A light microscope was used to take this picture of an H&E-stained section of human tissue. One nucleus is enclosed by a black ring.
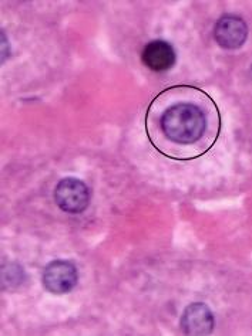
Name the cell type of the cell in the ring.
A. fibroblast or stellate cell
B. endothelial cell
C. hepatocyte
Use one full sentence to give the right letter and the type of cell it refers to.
Of all the options, C is right, since the cell in the ring is a hepatocyte.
